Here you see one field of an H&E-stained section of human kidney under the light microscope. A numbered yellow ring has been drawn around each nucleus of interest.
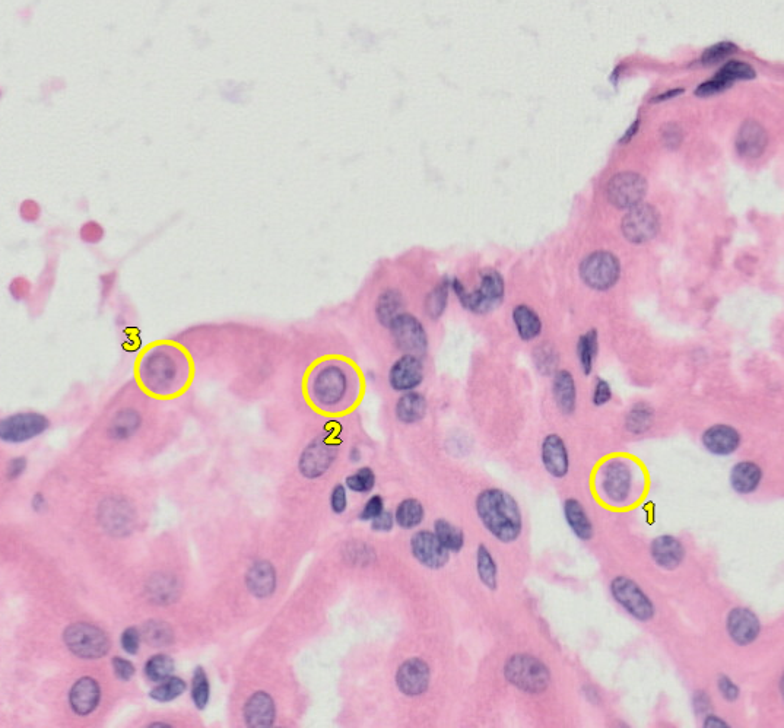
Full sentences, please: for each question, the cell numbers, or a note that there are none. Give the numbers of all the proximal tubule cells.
The cells with the number labels 2 and 3 are proximal tubule cells.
